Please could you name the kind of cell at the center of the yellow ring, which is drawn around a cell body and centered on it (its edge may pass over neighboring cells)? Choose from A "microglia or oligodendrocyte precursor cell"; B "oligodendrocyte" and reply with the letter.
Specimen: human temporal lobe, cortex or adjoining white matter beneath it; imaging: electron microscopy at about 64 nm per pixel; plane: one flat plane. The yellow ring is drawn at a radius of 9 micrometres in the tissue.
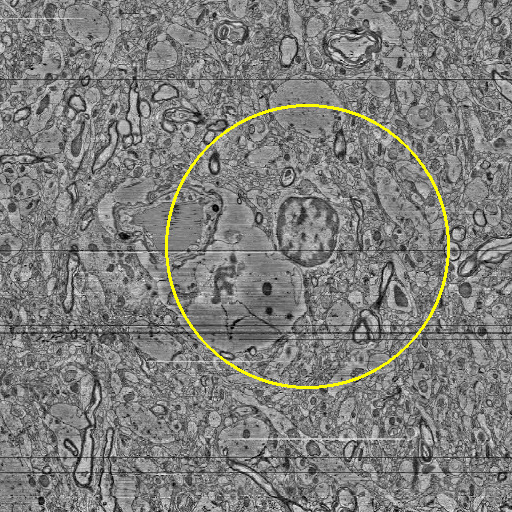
A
